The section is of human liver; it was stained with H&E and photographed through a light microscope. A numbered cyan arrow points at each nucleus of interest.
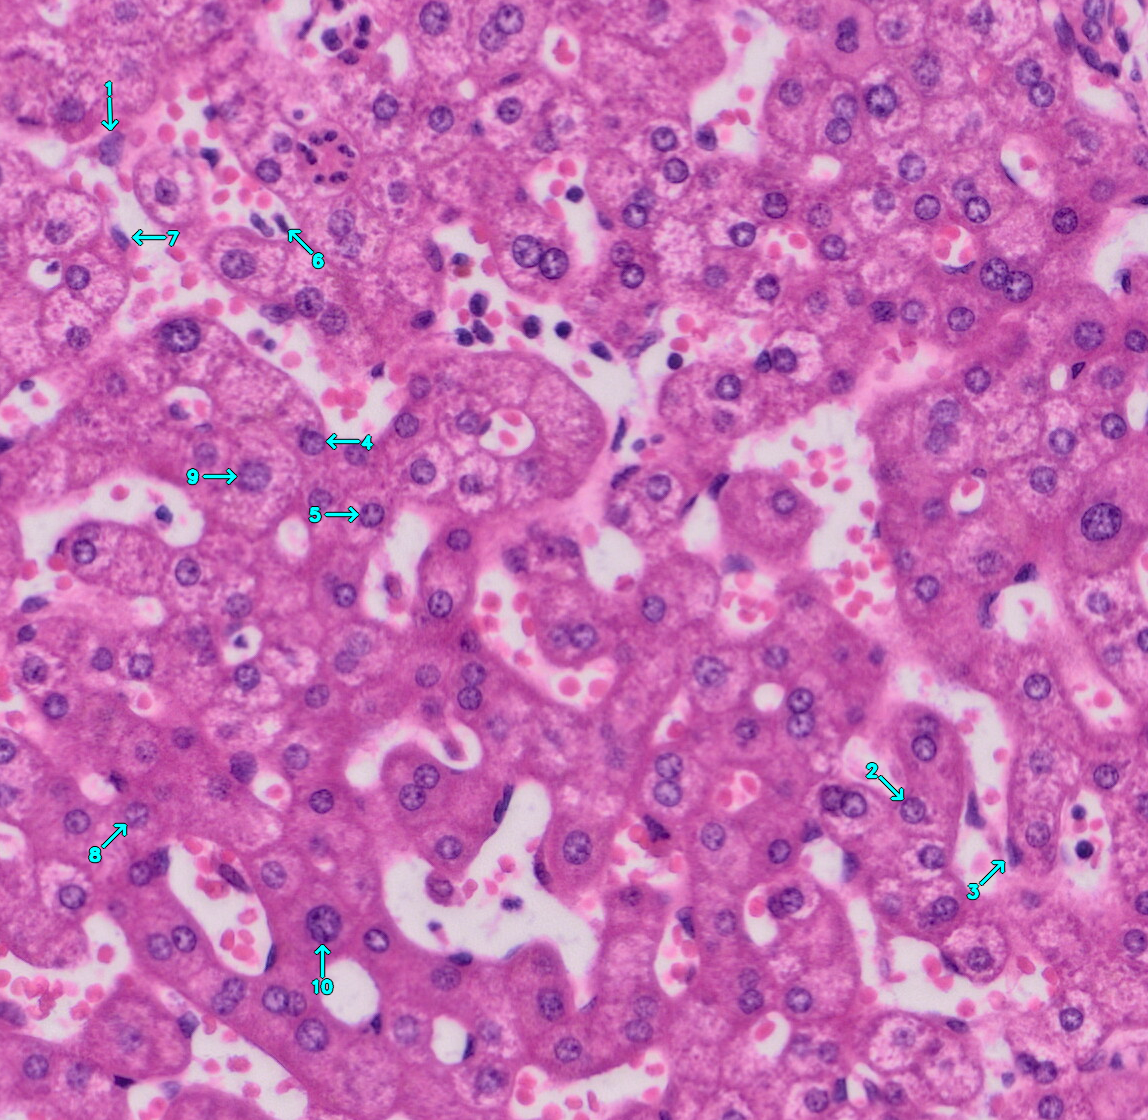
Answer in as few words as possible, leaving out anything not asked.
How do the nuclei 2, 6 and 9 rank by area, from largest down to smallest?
9, 2, 6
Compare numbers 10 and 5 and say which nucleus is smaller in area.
5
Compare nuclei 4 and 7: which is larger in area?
4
